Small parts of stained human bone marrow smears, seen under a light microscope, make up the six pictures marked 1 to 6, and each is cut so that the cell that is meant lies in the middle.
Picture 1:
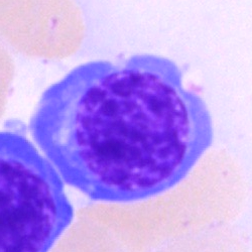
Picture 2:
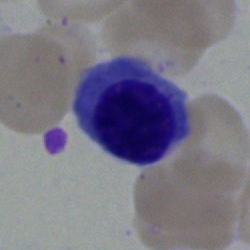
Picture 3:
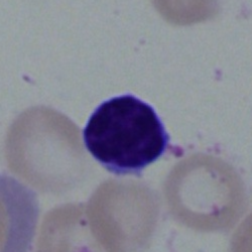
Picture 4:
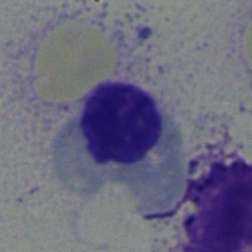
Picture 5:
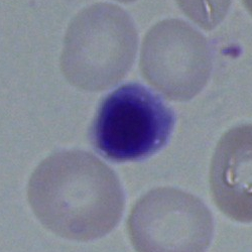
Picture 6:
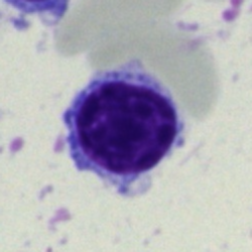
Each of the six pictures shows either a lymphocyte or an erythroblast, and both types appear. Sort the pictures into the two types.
1: erythroblast
2: erythroblast
3: lymphocyte
4: erythroblast
5: erythroblast
6: lymphocyte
